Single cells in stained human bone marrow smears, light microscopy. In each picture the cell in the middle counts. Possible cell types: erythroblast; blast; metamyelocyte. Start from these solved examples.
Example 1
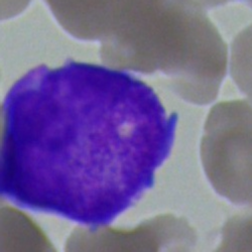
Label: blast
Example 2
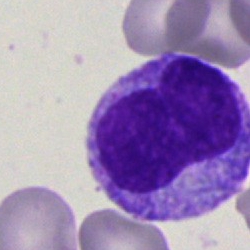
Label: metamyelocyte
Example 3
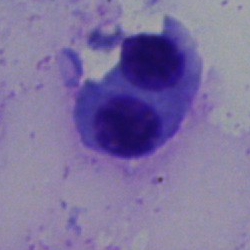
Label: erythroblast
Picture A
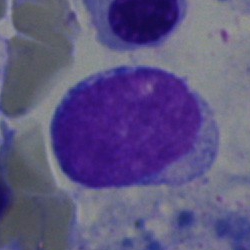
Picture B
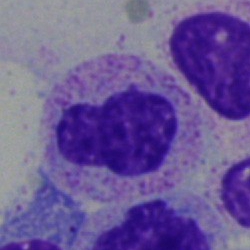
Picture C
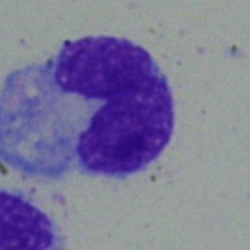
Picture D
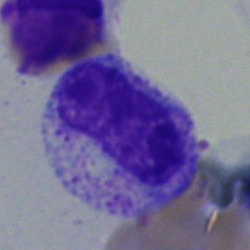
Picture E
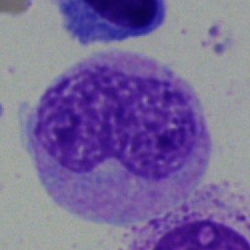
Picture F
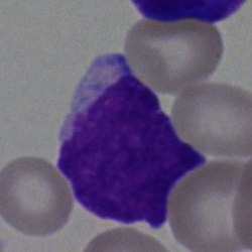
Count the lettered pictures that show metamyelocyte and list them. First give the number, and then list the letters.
4, namely B, C, D, E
